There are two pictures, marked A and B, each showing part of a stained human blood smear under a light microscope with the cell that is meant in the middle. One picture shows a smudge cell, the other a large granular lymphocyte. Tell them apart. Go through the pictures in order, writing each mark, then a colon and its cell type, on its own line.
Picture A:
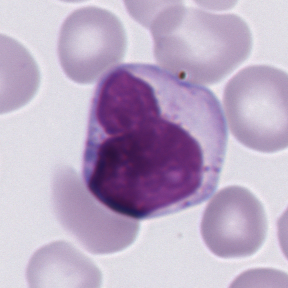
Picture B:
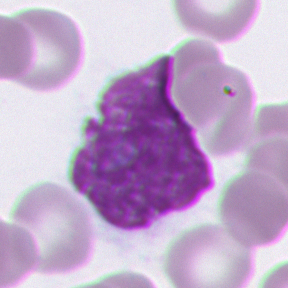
A: large granular lymphocyte
B: smudge cell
